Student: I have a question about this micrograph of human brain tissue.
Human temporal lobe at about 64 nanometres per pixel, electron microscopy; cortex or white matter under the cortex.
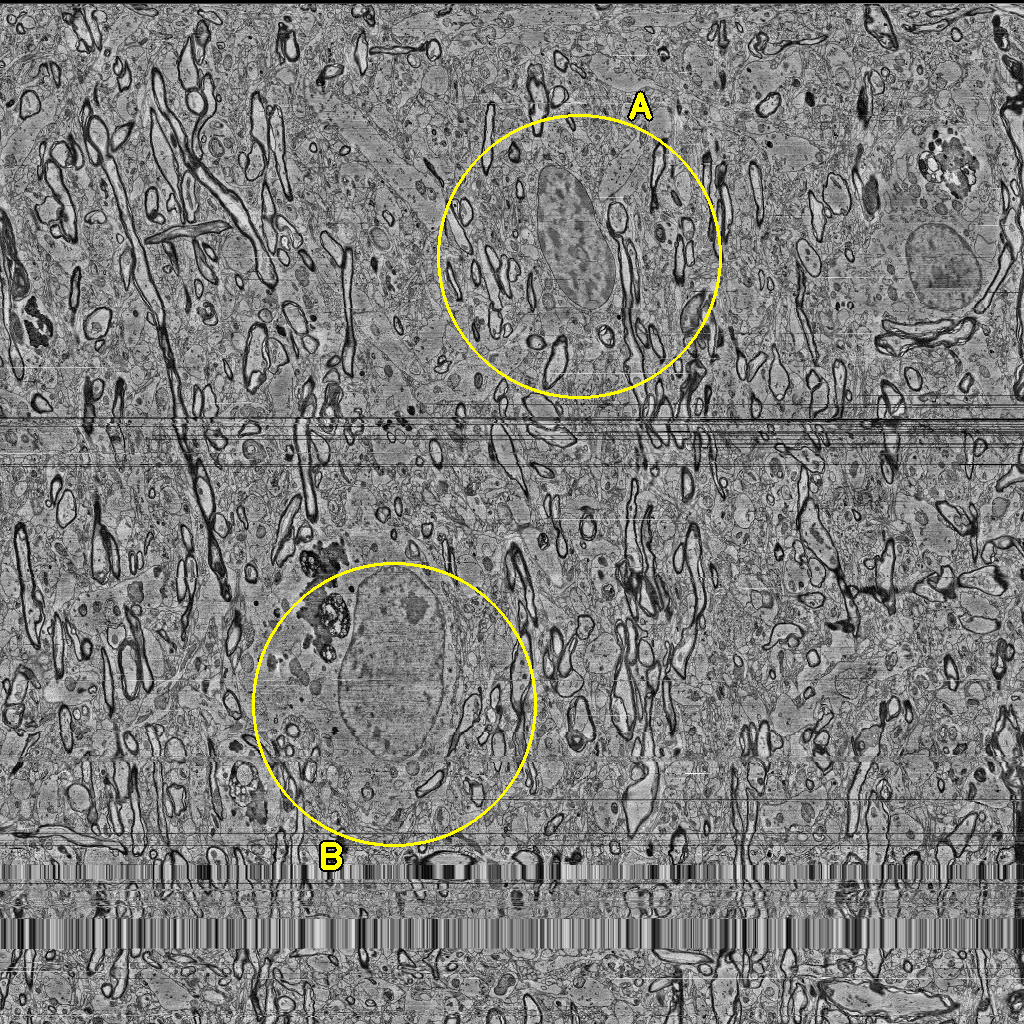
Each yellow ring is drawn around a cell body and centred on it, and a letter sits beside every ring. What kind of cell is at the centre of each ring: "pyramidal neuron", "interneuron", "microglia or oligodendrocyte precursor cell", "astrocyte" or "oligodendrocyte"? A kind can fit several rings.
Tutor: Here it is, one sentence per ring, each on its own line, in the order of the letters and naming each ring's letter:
For ring A, the cell at the centre is a microglial cell or oligodendrocyte precursor cell.
For ring B, the cell at the centre is an astrocyte.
